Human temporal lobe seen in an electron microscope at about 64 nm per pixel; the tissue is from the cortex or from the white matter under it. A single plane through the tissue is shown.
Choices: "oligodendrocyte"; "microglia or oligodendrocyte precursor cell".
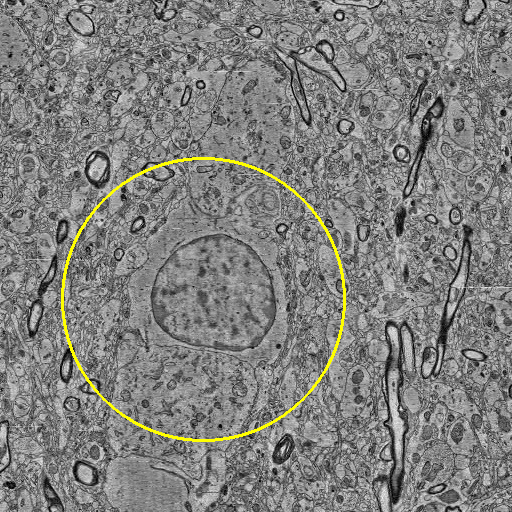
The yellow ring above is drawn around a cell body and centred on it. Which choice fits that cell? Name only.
microglia or oligodendrocyte precursor cell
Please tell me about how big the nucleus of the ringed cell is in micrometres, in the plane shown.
Approximately 8 micrometers across in this plane.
